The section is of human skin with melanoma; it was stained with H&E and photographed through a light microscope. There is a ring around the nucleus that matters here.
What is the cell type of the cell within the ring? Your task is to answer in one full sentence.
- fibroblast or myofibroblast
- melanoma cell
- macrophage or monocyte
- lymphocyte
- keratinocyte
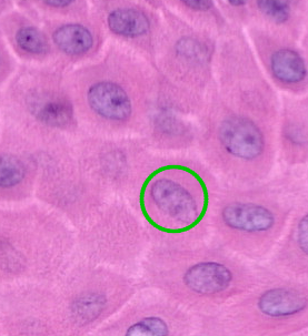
In cell-type terms, the cell within the ring is a keratinocyte.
